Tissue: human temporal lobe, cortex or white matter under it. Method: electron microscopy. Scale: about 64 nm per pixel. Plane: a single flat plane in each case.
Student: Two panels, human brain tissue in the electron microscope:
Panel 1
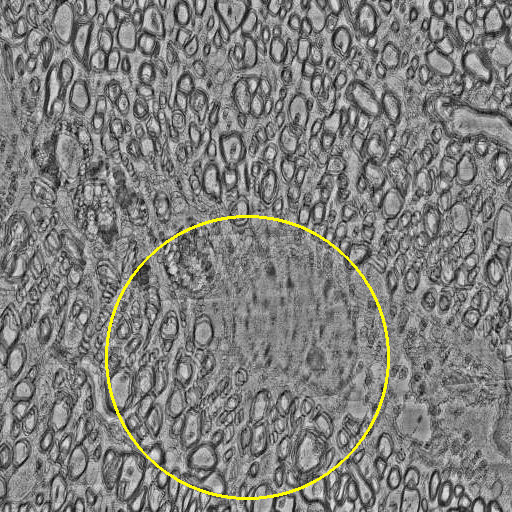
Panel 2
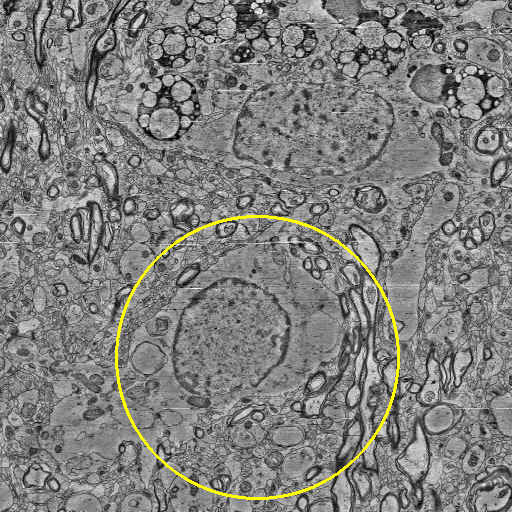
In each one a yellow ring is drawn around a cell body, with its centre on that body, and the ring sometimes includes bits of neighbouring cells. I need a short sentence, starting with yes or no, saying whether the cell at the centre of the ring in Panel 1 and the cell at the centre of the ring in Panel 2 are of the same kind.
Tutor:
Yes, they are the same kind of cell.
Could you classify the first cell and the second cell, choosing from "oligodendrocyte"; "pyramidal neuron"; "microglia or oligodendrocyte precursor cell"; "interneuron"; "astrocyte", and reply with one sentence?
In both pictures the ring is centred on an astrocyte.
